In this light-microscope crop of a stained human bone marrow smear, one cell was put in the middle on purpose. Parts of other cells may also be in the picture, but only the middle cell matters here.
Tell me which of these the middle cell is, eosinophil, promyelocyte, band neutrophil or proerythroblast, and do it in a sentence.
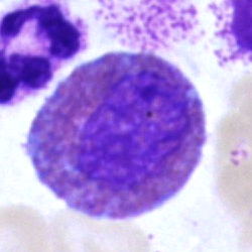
Among the cells in view, the one in the middle is an eosinophil.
